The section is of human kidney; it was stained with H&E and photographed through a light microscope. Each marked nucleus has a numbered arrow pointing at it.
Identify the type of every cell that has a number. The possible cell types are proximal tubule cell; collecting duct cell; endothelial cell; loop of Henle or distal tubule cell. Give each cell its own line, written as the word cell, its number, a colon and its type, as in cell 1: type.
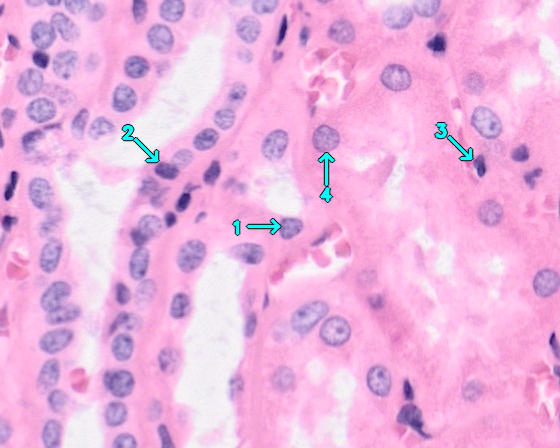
cell 1: loop of Henle or distal tubule cell
cell 2: collecting duct cell
cell 3: endothelial cell
cell 4: proximal tubule cell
